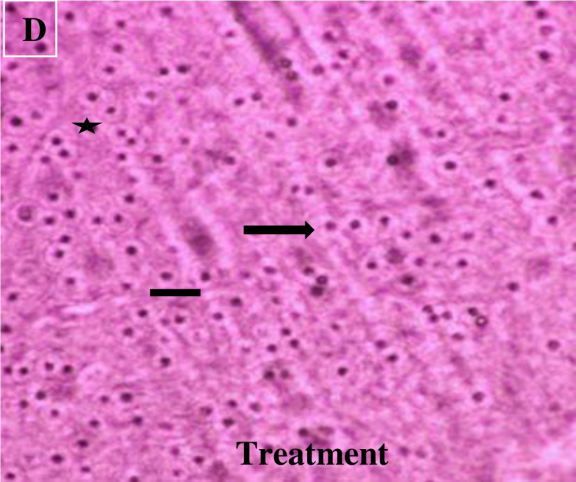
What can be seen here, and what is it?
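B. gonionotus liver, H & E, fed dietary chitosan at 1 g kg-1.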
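The boundaries between individual cells are faint, so the tissue looks like a uniform pink mass studded with nuclei. Some paler streaks run obliquely through the section.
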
